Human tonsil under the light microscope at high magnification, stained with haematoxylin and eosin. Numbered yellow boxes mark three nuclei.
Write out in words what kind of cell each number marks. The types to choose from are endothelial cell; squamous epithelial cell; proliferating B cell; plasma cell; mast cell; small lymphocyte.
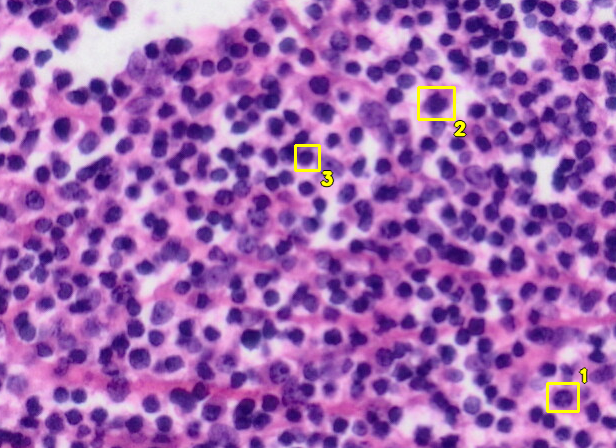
Cell 1 is a plasma cell, cell 2 is a proliferating B cell and cell 3 is a small lymphocyte.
